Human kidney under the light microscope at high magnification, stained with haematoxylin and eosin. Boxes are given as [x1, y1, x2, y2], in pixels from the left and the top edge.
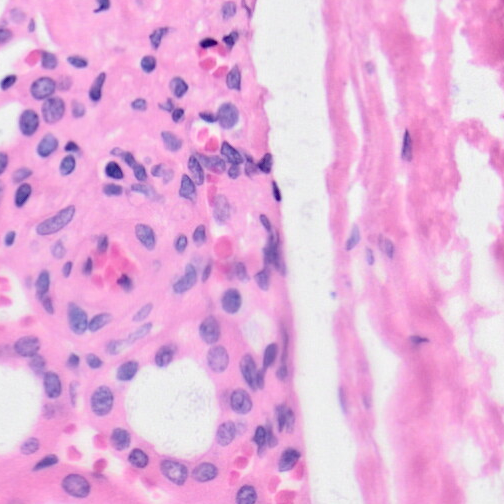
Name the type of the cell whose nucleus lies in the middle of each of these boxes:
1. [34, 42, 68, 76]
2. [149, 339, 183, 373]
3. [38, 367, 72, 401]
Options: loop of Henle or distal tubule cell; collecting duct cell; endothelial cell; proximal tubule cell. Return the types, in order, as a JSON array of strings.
["endothelial cell", "collecting duct cell", "collecting duct cell"]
